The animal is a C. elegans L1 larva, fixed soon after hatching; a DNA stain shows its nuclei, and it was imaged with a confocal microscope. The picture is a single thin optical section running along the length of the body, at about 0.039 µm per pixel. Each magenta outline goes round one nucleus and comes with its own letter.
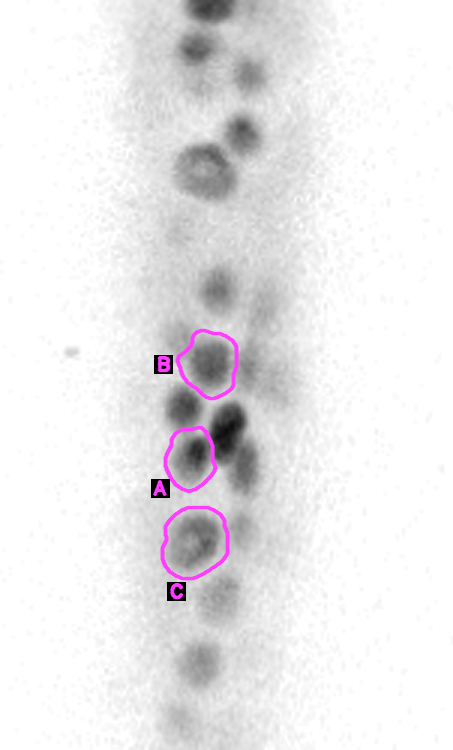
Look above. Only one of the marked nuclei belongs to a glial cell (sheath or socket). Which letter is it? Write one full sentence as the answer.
Nucleus A belongs to a glial cell (sheath or socket).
